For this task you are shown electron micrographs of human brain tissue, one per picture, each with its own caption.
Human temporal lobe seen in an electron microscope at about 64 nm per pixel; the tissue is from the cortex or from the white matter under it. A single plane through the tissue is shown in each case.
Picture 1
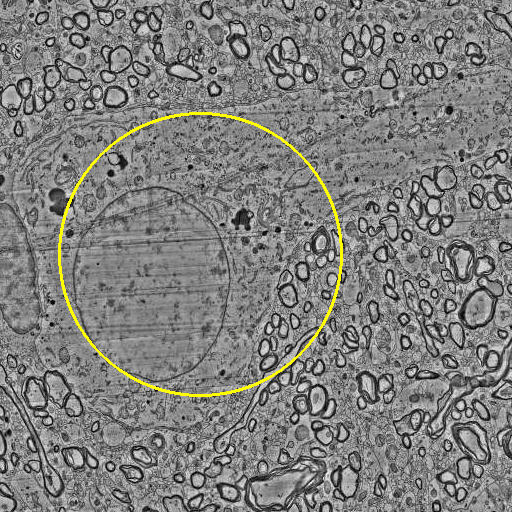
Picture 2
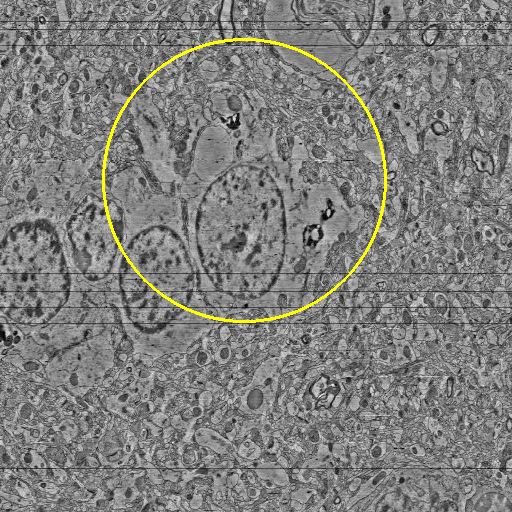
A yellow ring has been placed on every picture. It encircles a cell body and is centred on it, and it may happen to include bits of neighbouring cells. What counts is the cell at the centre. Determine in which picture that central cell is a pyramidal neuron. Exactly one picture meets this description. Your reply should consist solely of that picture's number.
1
